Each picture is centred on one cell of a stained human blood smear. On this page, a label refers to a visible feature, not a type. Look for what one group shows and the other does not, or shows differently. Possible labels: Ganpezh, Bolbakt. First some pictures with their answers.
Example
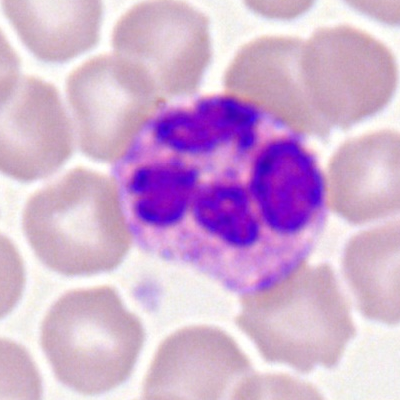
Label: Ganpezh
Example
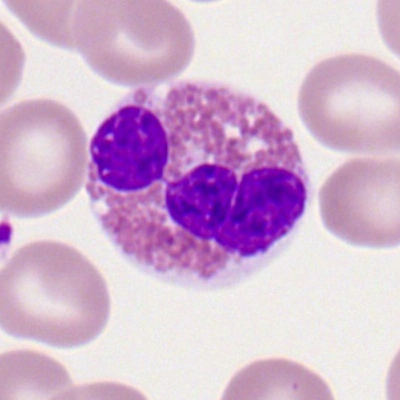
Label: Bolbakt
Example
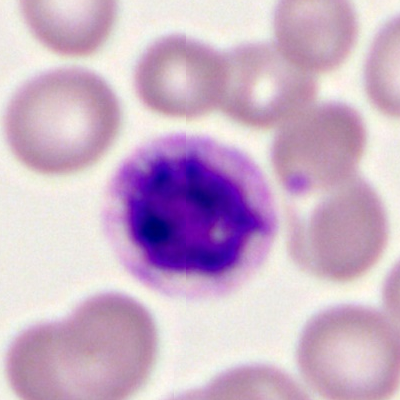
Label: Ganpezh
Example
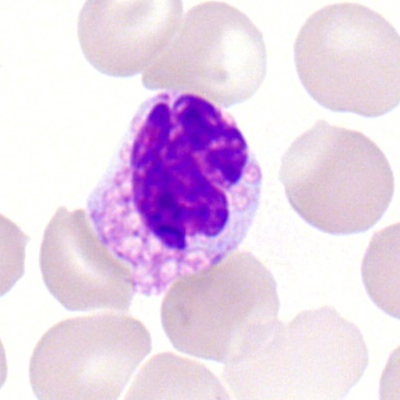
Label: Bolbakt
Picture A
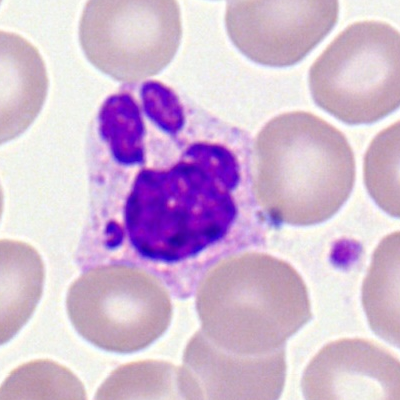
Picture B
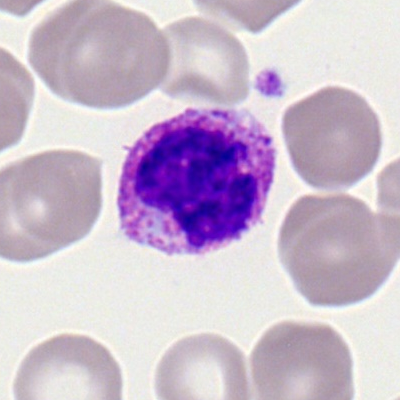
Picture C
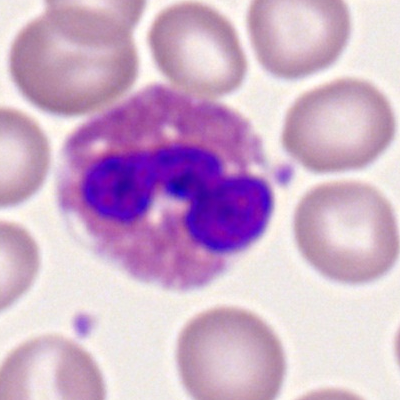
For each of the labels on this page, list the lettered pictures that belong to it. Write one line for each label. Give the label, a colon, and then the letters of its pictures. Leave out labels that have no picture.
Ganpezh: A, B, C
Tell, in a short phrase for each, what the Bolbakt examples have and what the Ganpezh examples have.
Seen in Bolbakt: coarse or large granules; seen in Ganpezh: fine or small granules.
